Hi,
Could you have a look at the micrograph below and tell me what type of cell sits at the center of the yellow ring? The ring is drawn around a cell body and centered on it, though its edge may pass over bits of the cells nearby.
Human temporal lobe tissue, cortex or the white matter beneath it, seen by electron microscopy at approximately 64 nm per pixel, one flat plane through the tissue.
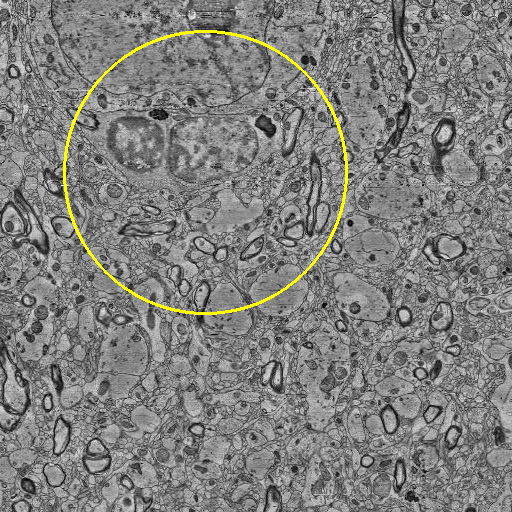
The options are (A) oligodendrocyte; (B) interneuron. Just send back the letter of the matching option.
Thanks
A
